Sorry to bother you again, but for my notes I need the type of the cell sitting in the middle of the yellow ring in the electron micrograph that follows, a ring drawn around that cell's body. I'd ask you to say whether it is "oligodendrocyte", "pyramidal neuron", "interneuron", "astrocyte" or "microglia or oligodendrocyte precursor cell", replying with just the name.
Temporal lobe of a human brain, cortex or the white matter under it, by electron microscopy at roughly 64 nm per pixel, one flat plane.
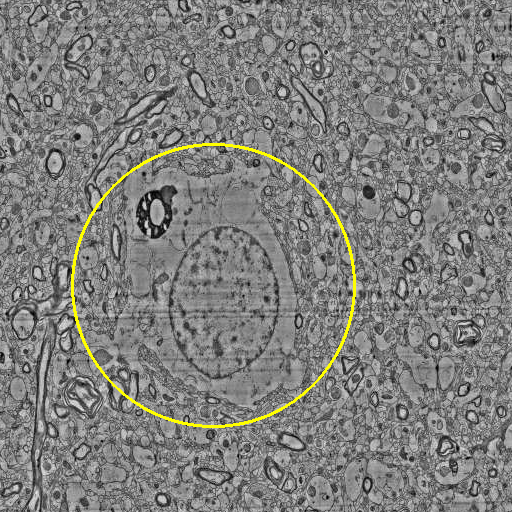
astrocyte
